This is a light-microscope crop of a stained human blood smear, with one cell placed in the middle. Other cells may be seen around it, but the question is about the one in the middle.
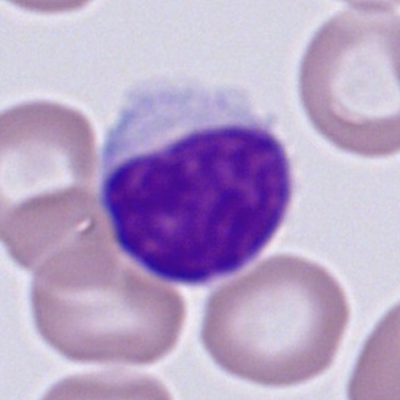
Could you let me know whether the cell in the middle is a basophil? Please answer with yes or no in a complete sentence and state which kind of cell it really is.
No, this one is a lymphocyte; it is not a basophil.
